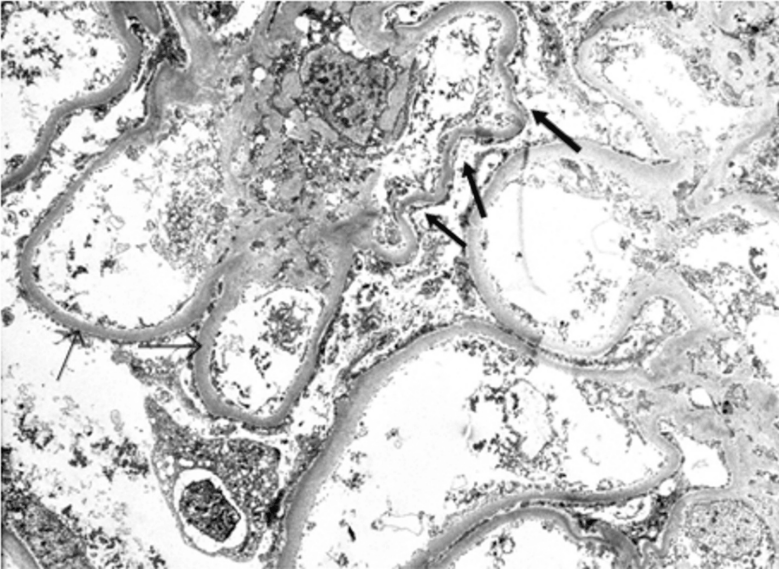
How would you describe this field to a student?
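This transmission electron micrograph shows glomerular capillary loops bounded by basement membrane. The loops have wide pale lumina with scattered granular material. The capillary walls consist of a uniform gray band of even thickness and smooth outer contour. Near the center a cell with a large granular nucleus lies between the loops. Along a wavy segment of capillary wall the covering cell layer runs as a continuous sheet over the membrane.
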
